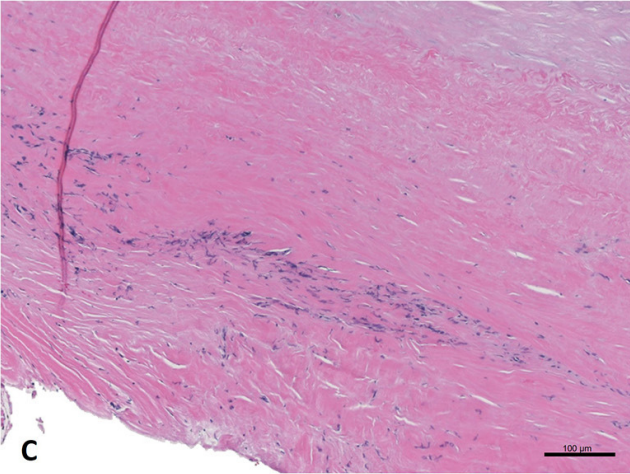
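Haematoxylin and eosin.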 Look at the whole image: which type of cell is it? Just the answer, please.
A: Fibroblasts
